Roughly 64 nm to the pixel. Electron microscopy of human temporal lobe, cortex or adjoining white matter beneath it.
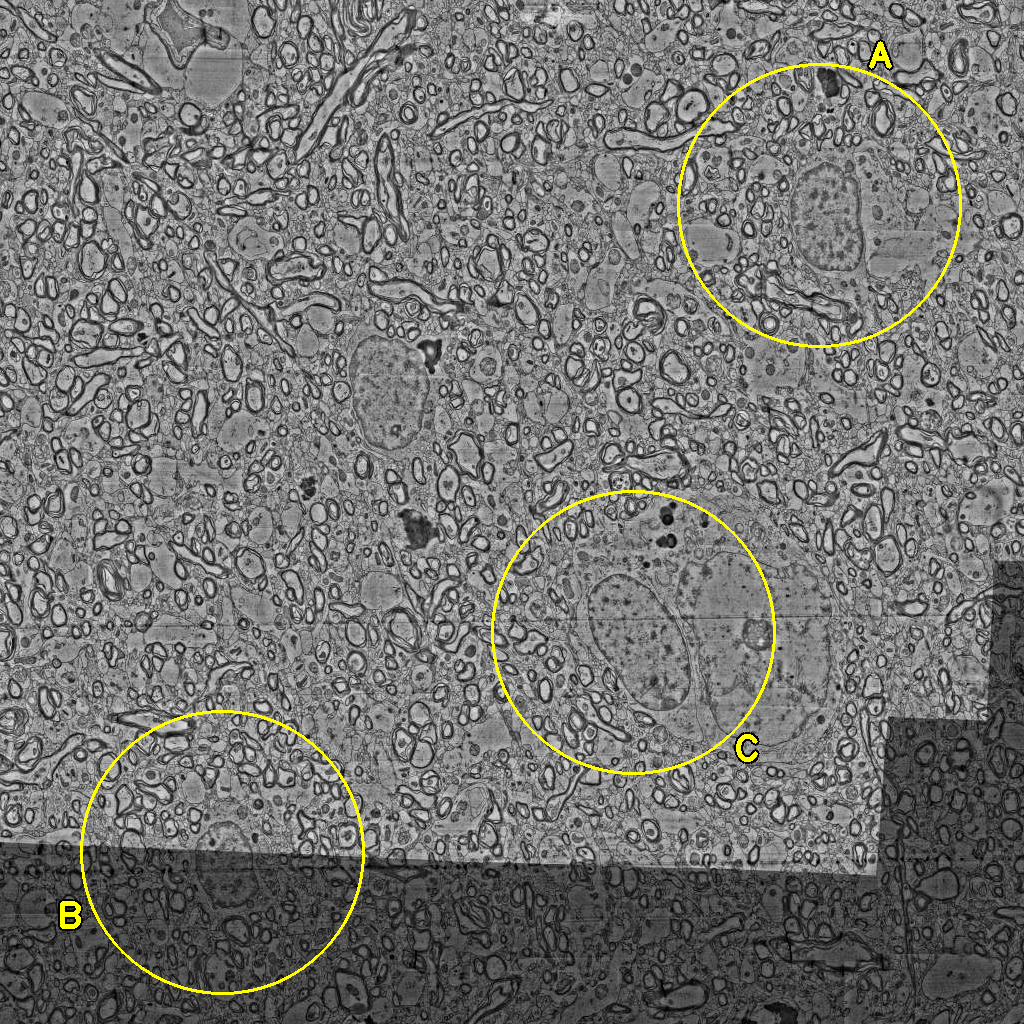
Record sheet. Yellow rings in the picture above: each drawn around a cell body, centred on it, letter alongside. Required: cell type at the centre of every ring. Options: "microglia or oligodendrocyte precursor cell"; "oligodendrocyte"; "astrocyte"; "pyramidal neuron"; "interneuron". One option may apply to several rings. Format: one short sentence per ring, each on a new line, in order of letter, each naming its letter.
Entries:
Ring A contains an oligodendrocyte at the centre.
Ring B contains an oligodendrocyte at the centre.
Ring C contains a microglial cell or oligodendrocyte precursor cell at the centre.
